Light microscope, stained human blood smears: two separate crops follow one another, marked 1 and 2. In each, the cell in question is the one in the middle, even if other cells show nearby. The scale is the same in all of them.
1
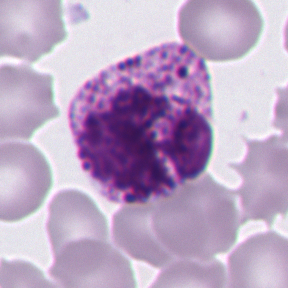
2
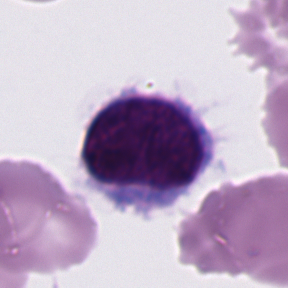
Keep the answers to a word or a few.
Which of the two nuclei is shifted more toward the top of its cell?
2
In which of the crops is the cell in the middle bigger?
1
